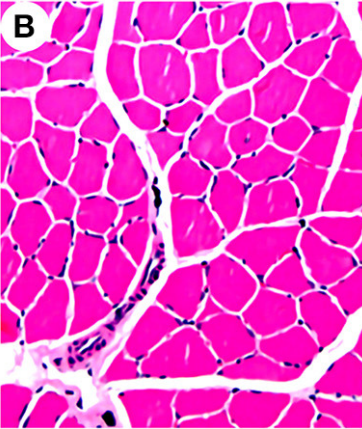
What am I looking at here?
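This is skeletal muscle cut across, stained with hematoxylin and eosin. The muscle fibers form many angular, polygonal pink profiles packed into bundles. Their small dark nuclei lie at the edges of the fibers. Thin pale lines of connective tissue outline each fiber, and wider pale bands separate the bundles. A small blood vessel with dark nuclei sits in one of the septa at the lower left. The fibers have sharp corners and vary in size, and a few small profiles lie among the larger ones.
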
